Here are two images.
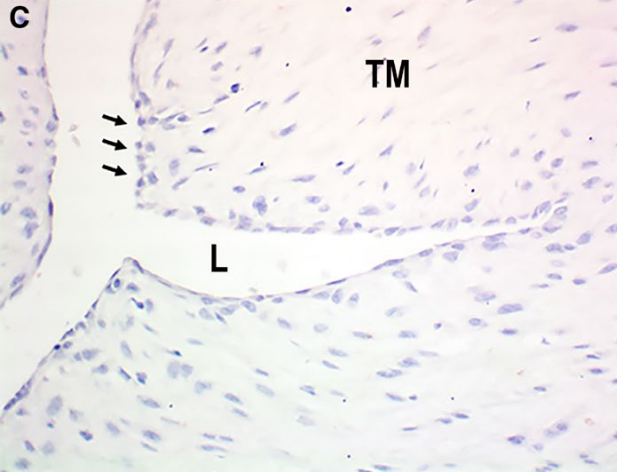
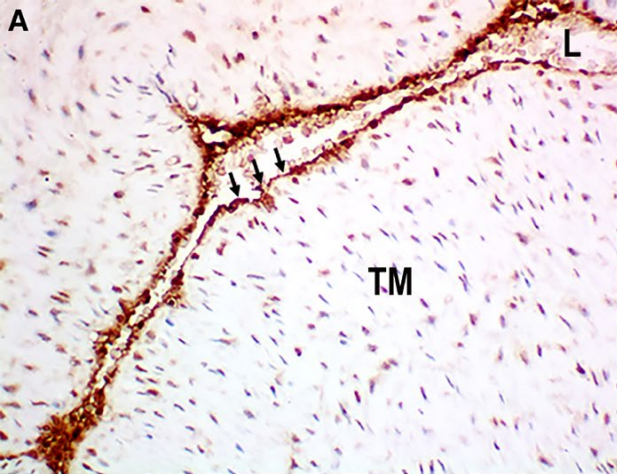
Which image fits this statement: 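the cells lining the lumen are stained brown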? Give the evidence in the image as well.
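First image: the lining cells show only blue nuclei, no brown. Second image: the lining of the lumen is dark brown. On this evidence: the second image.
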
